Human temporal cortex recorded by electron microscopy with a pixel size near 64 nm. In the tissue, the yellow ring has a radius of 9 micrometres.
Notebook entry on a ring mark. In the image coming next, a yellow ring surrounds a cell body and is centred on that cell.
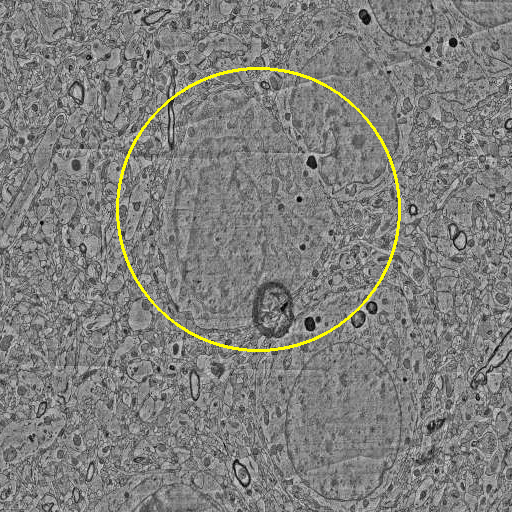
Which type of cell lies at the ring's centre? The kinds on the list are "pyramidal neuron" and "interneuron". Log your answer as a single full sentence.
Centred in the yellow ring is an interneuron, the cell recorded for this image.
